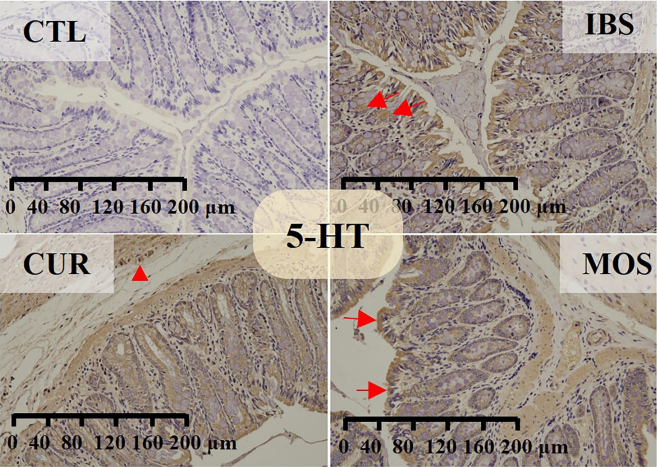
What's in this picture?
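Four fields of colon wall are set side by side, each showing crypts lined by tall columnar epithelium with loose tissue between them. Blue nuclei sit in rows within the epithelium. In one field the tissue is almost free of brown, while in the others the epithelium and the surrounding tissue carry a diffuse light brown tint. In one lower field a band of wall with elongated nuclei lies beneath the crypts, and a red triangle marks a spot in it. In other fields red arrows point to brown cytoplasm in epithelial cells facing the lumen.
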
